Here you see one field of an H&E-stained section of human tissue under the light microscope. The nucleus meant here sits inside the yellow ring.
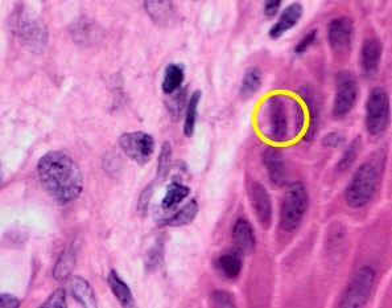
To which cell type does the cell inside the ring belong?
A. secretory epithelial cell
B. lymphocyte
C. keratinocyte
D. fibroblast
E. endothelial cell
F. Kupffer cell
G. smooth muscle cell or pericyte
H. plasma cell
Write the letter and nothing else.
C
